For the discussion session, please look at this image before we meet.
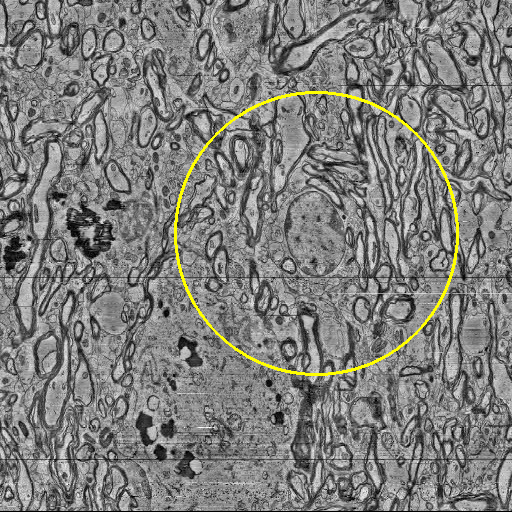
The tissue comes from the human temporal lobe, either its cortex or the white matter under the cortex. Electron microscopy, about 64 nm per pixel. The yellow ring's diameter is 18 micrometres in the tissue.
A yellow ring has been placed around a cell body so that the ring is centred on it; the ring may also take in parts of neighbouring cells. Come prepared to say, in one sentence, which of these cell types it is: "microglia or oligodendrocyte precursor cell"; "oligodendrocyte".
The cell centred in the ring is a microglial cell or oligodendrocyte precursor cell.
